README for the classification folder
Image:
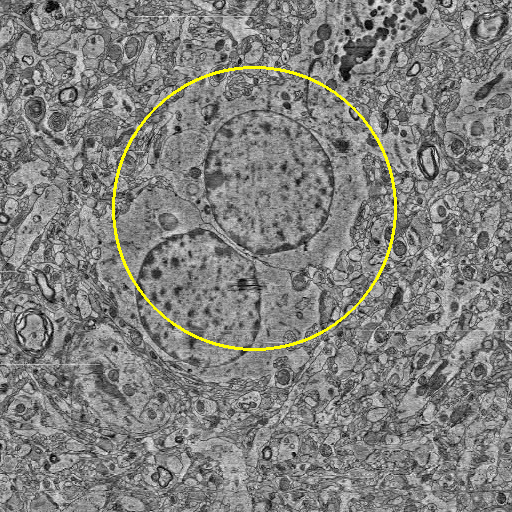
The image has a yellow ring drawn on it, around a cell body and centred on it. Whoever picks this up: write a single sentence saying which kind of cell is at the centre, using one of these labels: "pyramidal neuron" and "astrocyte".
This cell body is that of an astrocyte.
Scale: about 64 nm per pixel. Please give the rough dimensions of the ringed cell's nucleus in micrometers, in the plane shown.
The nucleus measures about 10 by 8 micrometres in this plane.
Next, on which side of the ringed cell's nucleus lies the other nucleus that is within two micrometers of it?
That other nucleus is to the lower left of it.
